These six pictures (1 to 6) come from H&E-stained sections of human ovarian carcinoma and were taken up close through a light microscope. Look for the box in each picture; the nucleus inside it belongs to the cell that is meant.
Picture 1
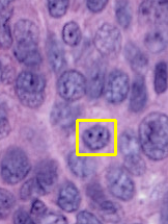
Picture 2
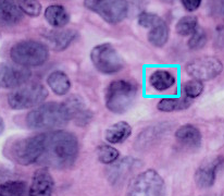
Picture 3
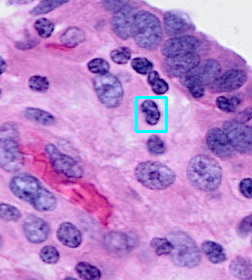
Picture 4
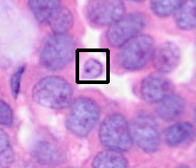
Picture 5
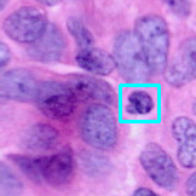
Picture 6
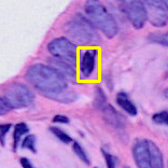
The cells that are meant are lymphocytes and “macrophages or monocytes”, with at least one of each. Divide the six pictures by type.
1: macrophage or monocyte
2: lymphocyte
3: lymphocyte
4: macrophage or monocyte
5: lymphocyte
6: lymphocyte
